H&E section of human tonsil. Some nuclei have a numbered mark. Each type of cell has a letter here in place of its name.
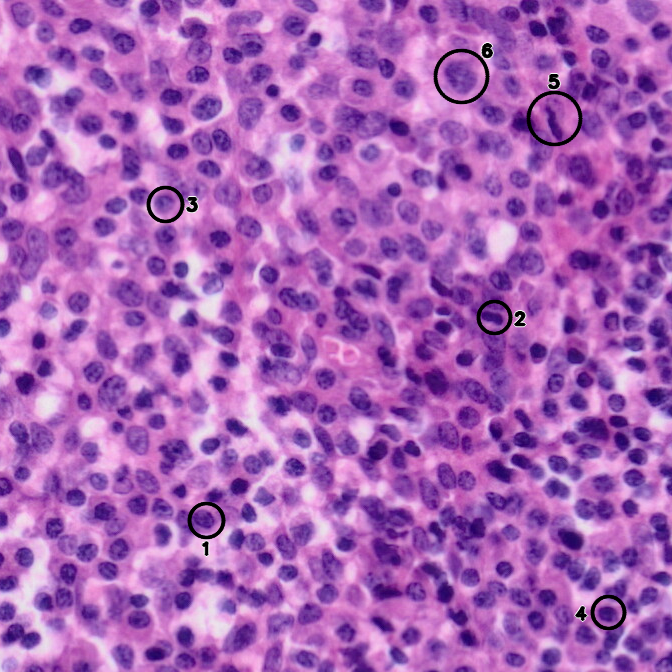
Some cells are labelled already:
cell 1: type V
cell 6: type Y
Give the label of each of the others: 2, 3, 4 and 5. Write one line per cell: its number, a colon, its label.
2: type Y
3: type V
4: type V
5: type Y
